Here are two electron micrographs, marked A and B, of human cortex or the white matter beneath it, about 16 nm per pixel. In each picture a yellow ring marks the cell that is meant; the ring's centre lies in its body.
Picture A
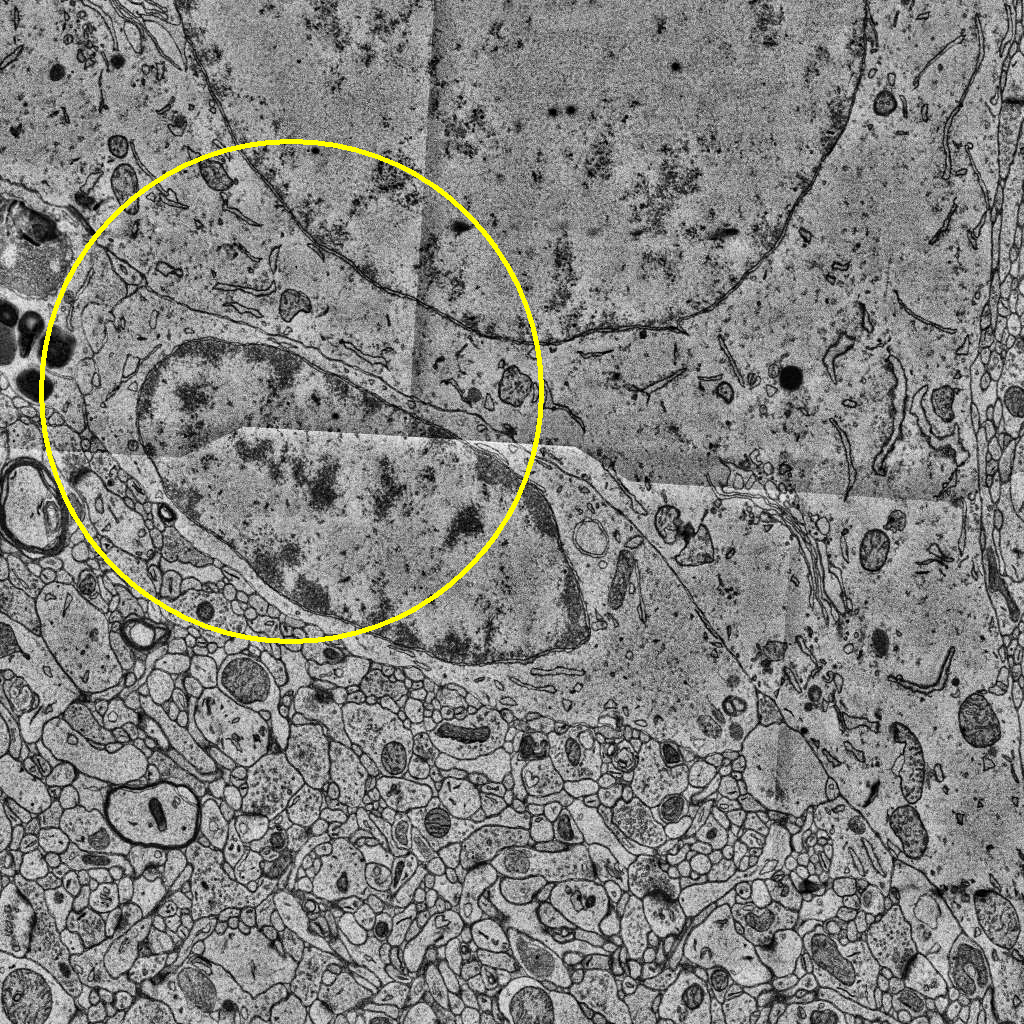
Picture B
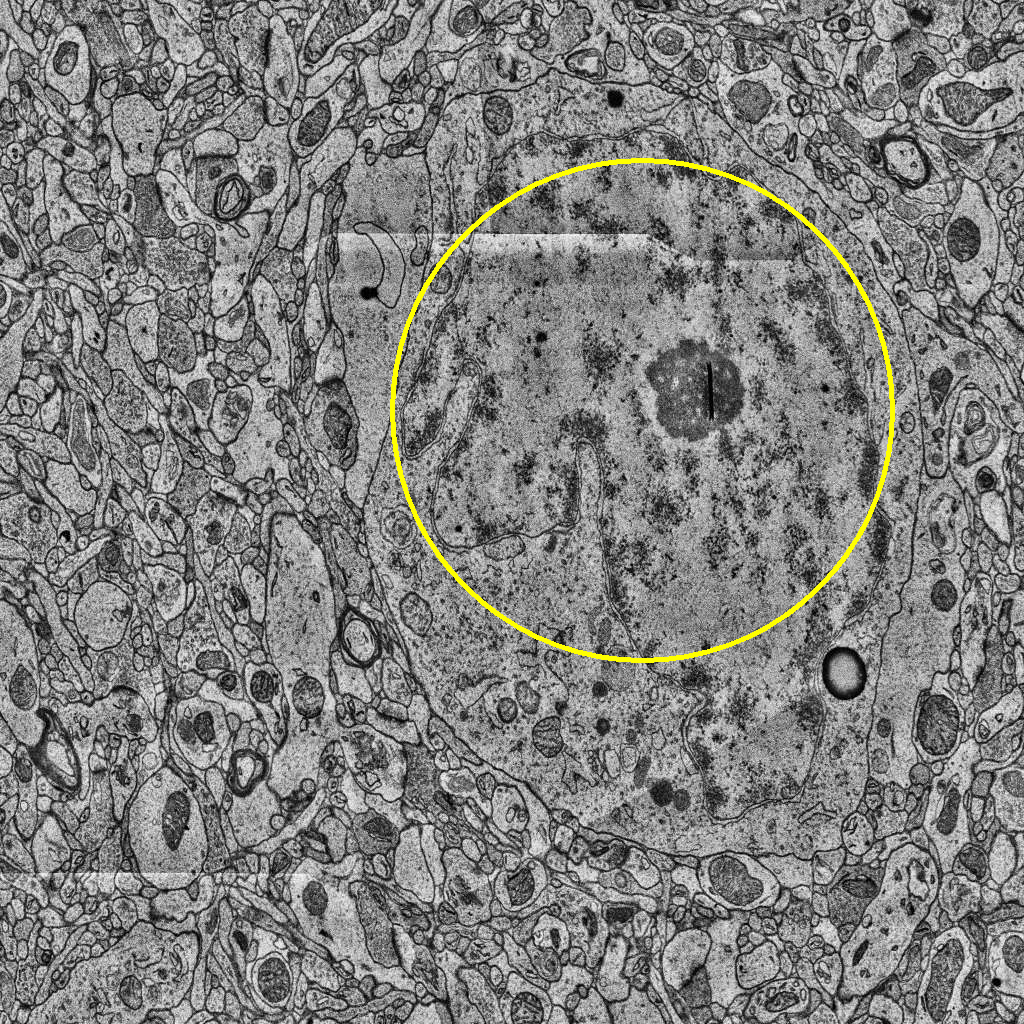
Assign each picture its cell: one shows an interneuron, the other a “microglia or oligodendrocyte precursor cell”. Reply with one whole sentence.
It is picture A that shows a “microglia or oligodendrocyte precursor cell”, and picture B that shows an interneuron.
